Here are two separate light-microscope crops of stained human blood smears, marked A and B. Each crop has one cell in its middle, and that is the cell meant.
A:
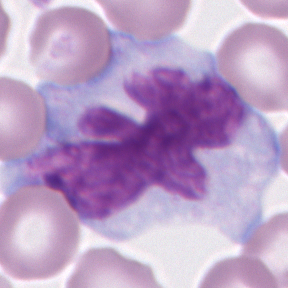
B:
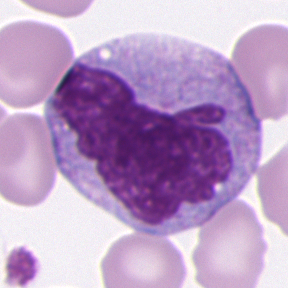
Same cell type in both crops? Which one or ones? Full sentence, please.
Yes, in the case of both crops, the central cells are monocytes.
